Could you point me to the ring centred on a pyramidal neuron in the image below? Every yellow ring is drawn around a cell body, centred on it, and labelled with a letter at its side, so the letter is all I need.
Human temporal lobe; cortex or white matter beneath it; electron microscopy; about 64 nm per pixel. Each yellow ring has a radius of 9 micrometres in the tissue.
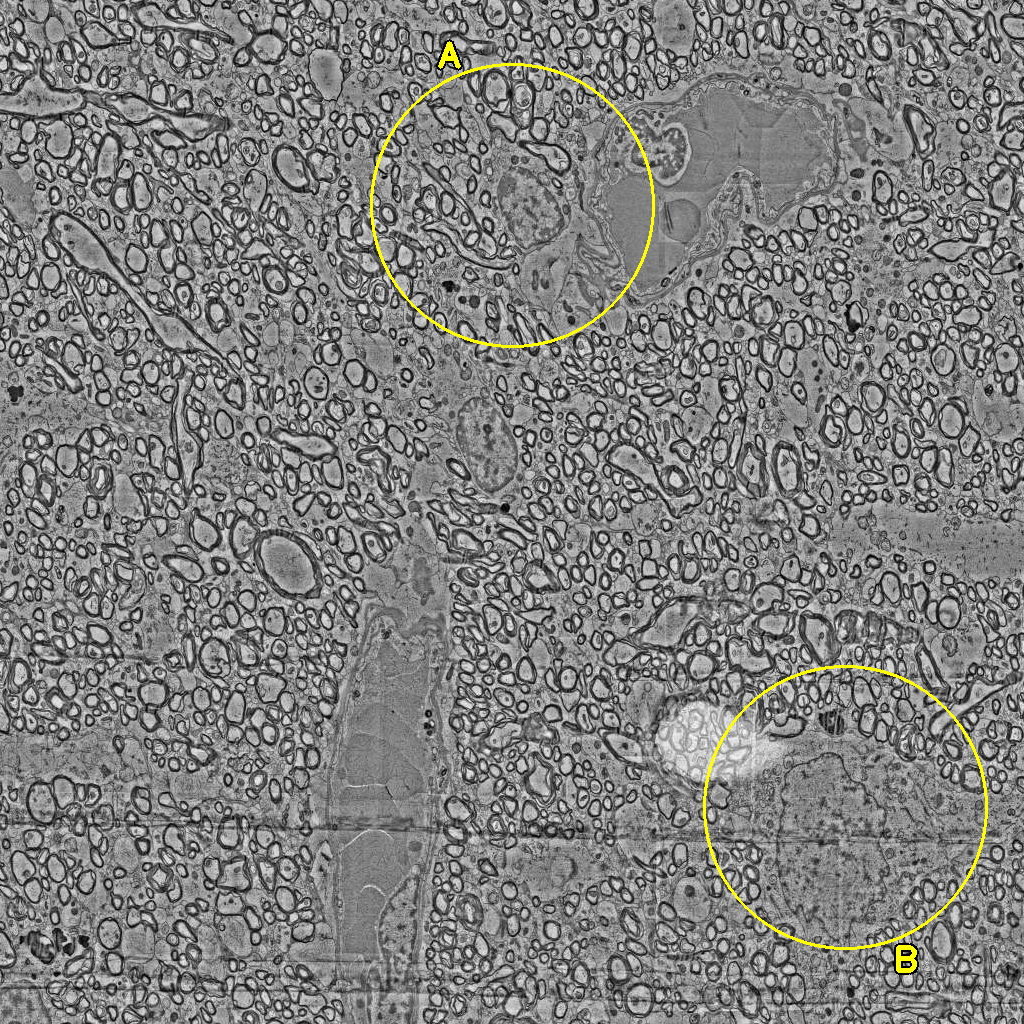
B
